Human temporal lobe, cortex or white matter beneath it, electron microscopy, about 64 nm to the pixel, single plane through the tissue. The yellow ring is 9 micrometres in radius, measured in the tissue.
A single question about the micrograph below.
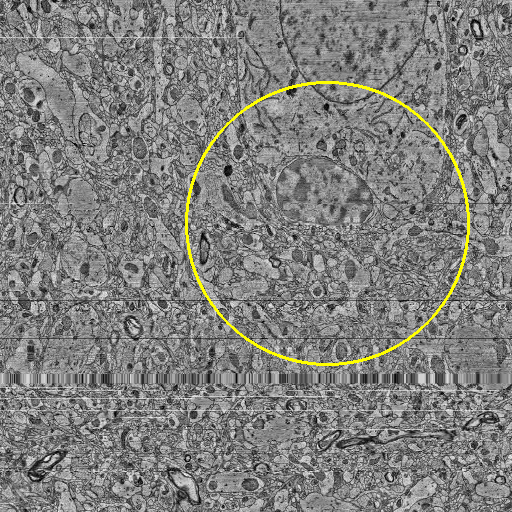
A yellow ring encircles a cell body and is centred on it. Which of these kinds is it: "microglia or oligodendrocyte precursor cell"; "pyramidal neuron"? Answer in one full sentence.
The cell body at the centre of the yellow ring belongs to a microglial cell or oligodendrocyte precursor cell.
